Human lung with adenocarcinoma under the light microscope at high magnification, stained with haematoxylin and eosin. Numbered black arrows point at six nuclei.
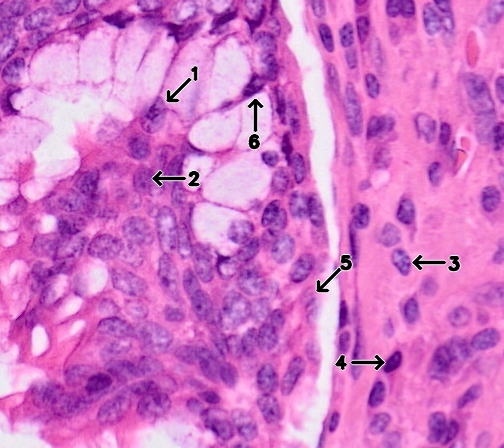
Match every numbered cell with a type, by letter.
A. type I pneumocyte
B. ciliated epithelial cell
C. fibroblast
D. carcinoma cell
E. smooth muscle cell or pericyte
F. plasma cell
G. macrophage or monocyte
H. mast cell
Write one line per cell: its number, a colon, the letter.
1: B
2: B
3: H
4: F
5: B
6: B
